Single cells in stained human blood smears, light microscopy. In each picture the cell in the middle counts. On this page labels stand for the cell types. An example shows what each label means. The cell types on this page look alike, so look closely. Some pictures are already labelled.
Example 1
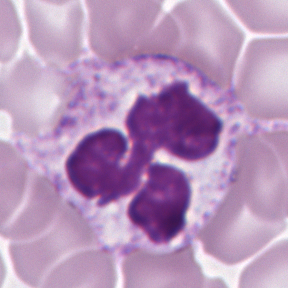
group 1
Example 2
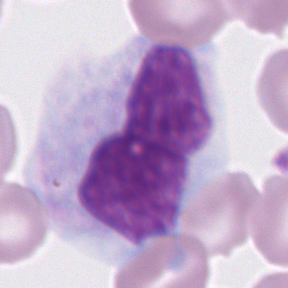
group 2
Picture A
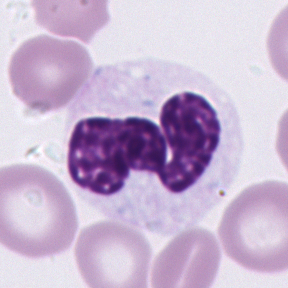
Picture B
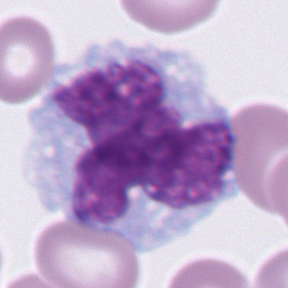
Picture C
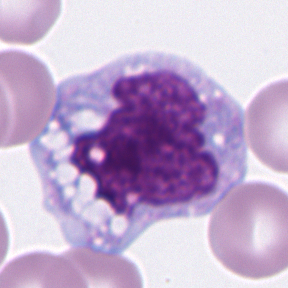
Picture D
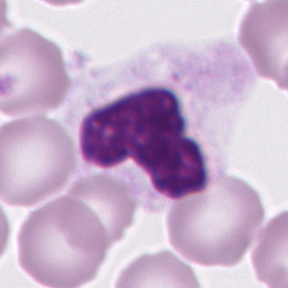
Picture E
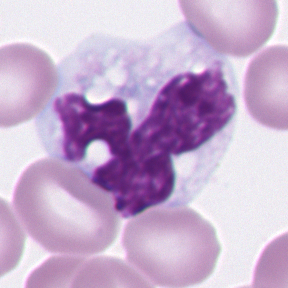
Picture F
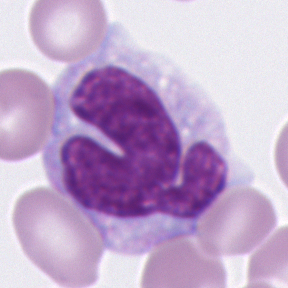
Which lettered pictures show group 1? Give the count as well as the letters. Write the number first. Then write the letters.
Count: 2 (A, D)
